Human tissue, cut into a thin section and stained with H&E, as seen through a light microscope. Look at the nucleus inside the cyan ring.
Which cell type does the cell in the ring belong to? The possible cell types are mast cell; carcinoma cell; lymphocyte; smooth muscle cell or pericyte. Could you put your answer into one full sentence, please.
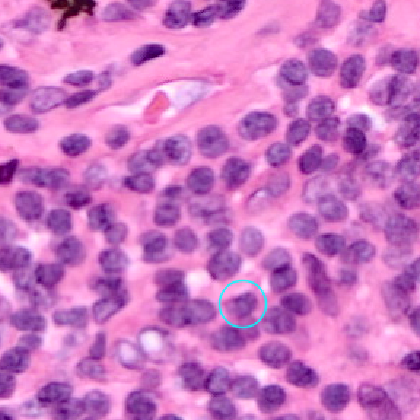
In the stained section, the cell in the ring is a lymphocyte.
